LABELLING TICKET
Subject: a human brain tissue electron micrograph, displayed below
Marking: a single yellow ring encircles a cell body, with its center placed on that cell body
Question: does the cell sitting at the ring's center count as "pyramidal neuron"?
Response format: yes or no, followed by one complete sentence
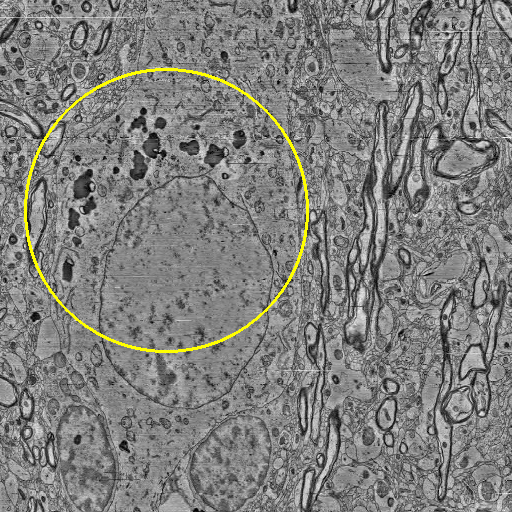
Yes, the cell at the center of the ring in the picture is of that kind.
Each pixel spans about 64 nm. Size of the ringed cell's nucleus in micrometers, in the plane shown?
About 15 micrometres by about 11 micrometres in this plane.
